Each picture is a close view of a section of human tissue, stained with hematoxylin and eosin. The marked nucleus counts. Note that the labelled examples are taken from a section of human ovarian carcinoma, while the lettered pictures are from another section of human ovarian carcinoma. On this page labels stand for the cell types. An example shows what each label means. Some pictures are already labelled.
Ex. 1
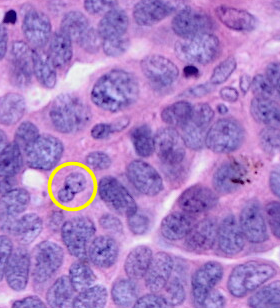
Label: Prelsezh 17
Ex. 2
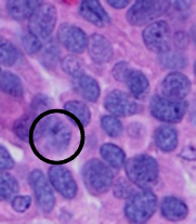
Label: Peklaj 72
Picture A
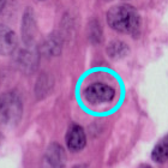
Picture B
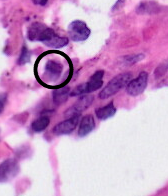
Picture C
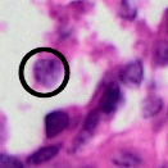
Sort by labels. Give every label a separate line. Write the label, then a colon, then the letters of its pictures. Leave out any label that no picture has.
Prelsezh 17: A, C
Peklaj 72: B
